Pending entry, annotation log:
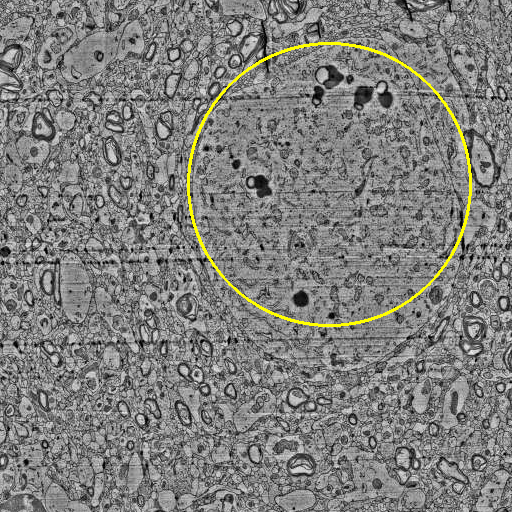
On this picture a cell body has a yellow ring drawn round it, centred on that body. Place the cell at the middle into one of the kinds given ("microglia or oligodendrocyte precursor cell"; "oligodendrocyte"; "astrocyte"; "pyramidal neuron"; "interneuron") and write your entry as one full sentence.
The cell body at the middle of the yellow ring belongs to a pyramidal neuron.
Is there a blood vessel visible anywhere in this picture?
No, a blood vessel is absent from this picture.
